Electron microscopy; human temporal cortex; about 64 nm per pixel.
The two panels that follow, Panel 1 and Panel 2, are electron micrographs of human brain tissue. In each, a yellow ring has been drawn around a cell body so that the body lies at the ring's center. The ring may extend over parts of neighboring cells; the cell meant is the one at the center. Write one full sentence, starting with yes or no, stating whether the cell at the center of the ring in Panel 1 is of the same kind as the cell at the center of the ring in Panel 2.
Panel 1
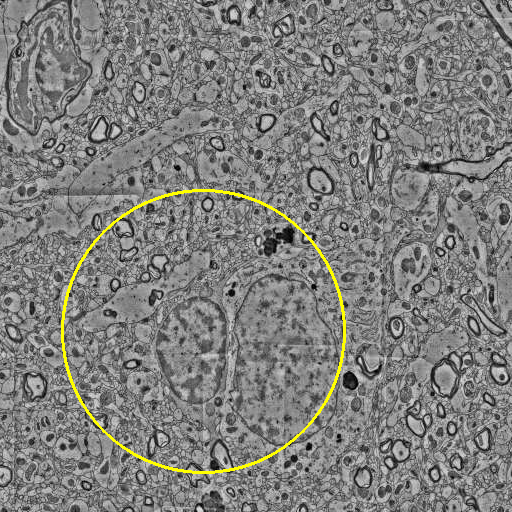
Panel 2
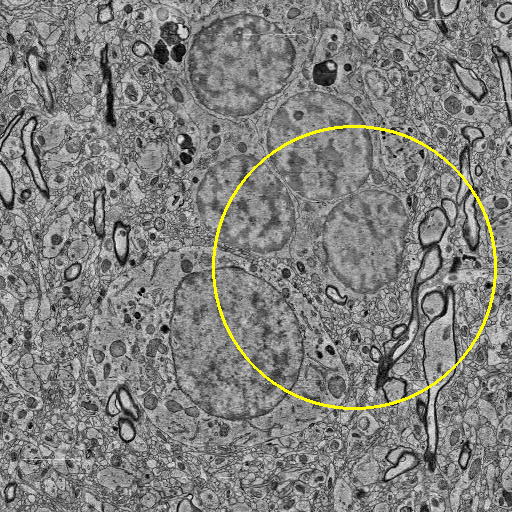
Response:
Yes, the cells in both panels are of the same kind.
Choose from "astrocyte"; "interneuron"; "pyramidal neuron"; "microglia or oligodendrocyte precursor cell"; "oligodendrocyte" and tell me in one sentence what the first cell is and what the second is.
In each of the two pictures, the ringed cell is an oligodendrocyte.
